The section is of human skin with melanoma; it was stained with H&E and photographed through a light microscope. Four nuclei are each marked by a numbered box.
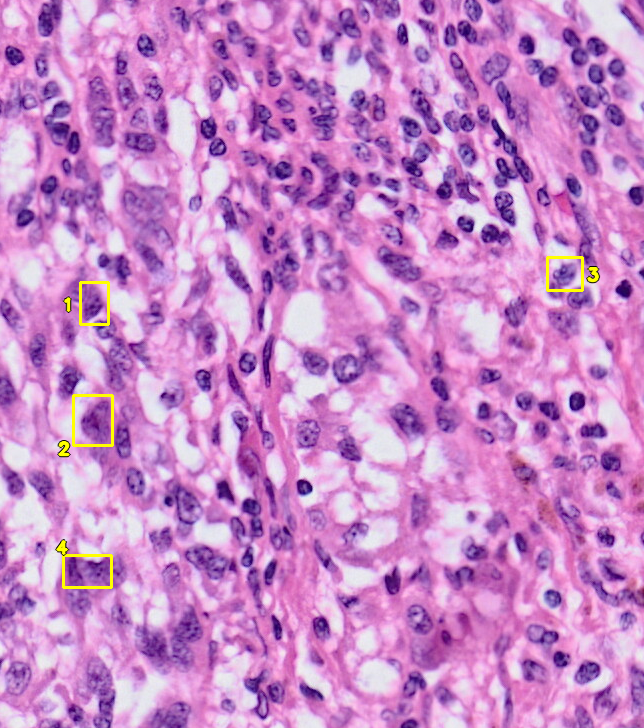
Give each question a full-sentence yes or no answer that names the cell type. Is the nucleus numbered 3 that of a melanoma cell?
No, it is a lymphocyte, not a melanoma cell, that number 3 marks.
